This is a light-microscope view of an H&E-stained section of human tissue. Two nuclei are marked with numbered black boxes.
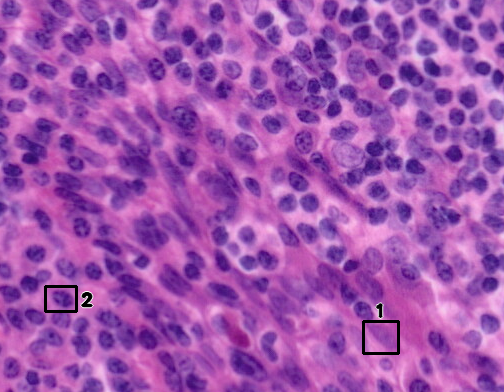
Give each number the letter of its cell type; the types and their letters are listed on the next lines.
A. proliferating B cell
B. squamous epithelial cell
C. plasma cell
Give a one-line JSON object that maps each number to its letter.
{"1": "B", "2": "C"}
